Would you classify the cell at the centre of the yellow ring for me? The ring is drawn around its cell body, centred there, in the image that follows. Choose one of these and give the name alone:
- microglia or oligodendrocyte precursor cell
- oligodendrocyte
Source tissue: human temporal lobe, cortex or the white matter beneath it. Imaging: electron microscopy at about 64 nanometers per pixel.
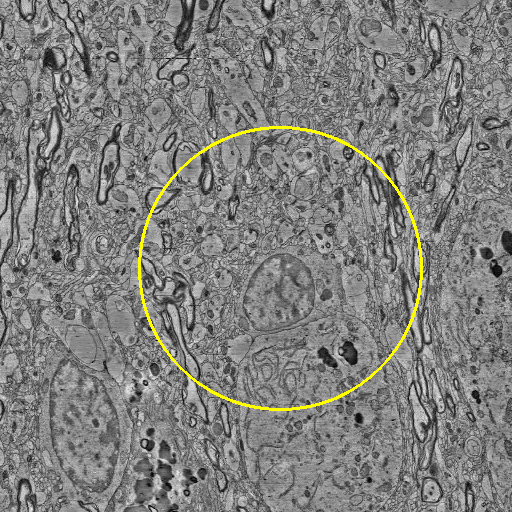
oligodendrocyte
